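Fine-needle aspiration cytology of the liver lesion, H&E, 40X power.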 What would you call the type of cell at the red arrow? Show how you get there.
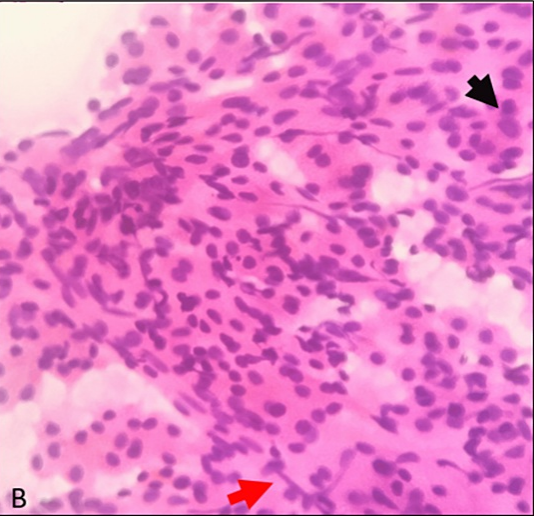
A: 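Spindle cells. The arrow points at cells with elongated, slender nuclei. These nuclei are much longer than wide, unlike the round nuclei nearby.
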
